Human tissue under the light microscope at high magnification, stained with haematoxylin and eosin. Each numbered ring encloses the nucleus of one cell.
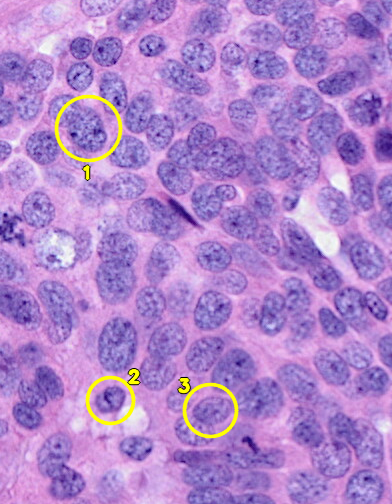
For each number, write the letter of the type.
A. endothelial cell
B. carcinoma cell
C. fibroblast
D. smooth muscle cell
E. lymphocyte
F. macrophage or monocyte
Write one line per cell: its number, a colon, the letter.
1: B
2: F
3: B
